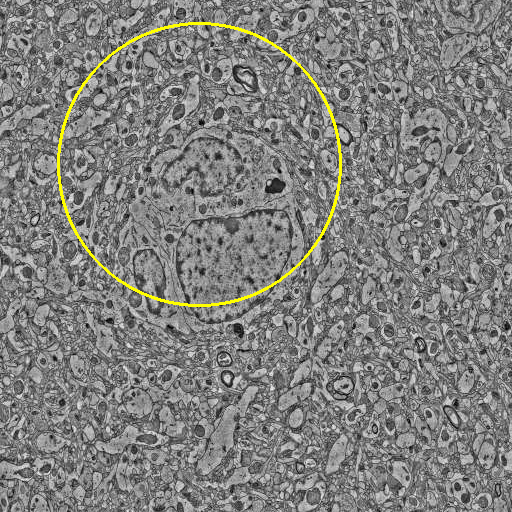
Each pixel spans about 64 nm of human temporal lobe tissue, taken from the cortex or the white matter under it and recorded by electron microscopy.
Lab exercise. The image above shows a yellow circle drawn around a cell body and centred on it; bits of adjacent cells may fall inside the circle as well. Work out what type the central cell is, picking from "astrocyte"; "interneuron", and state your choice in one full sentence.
In the image above, the cell at the centre of the yellow circle is an interneuron.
